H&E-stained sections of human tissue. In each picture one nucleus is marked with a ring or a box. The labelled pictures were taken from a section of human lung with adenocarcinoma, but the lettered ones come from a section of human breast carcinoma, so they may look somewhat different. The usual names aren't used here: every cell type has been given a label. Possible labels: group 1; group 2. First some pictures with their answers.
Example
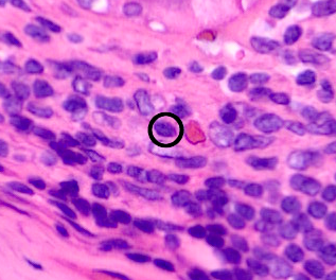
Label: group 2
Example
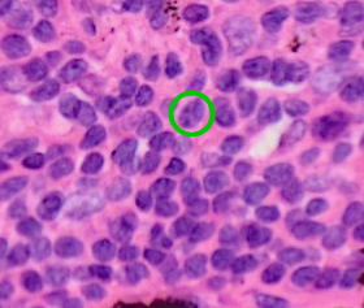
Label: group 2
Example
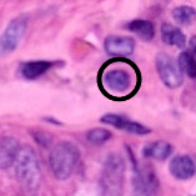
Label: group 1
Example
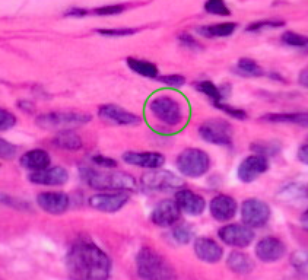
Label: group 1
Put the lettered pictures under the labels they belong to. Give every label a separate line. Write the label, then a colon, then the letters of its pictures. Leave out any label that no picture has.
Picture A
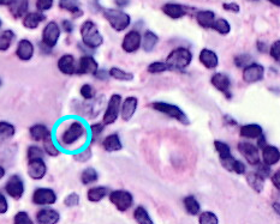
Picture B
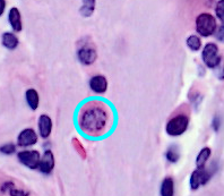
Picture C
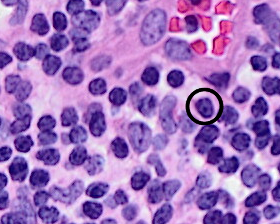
group 1: B
group 2: A, C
